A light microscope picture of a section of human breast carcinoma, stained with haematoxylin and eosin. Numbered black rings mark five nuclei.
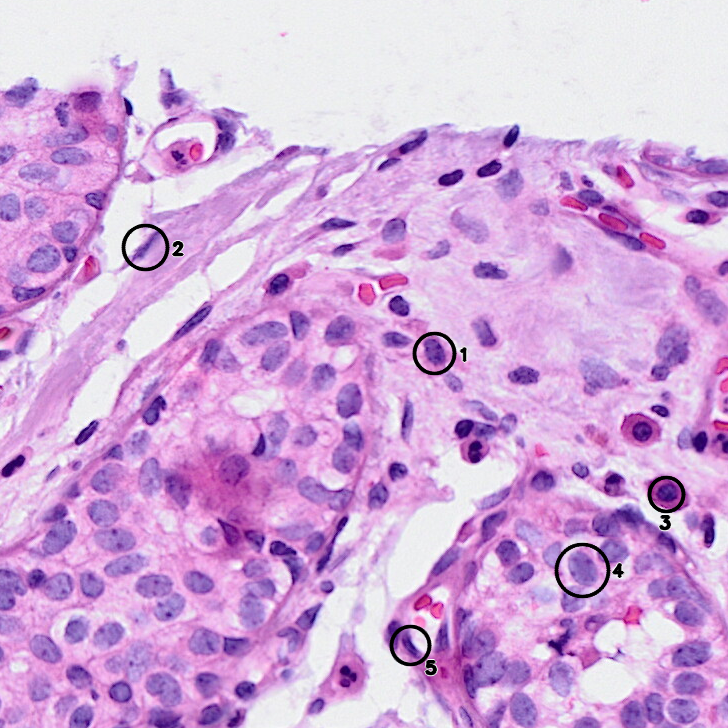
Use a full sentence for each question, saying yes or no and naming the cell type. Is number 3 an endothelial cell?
No, the cell bearing the number 3 is a mast cell, not an endothelial cell.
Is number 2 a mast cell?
No, as for cell 2, it is a fibroblast and not a mast cell.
